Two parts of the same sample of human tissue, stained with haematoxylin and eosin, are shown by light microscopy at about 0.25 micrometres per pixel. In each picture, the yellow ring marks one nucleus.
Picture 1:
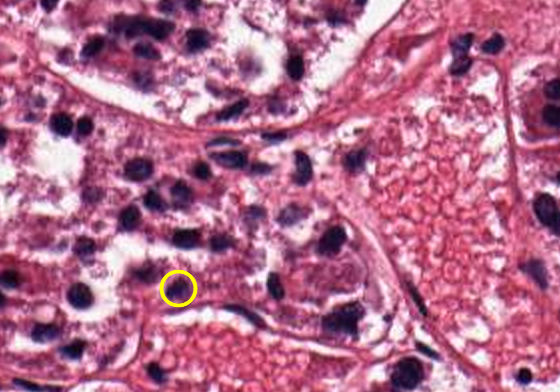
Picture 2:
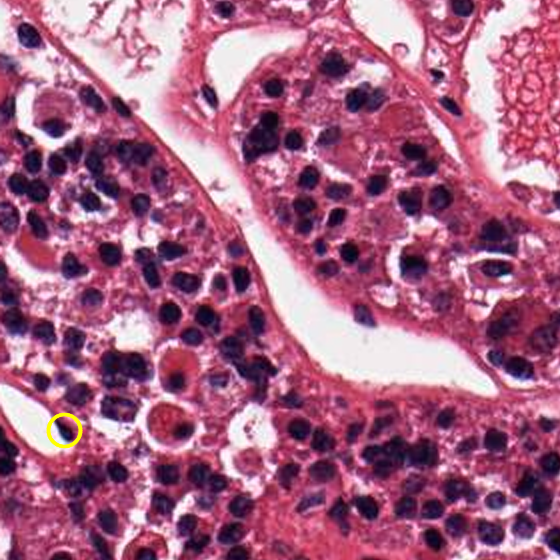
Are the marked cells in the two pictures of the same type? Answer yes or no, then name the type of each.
No, the first is an anterior pituitary cell and the second an endothelial cell.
